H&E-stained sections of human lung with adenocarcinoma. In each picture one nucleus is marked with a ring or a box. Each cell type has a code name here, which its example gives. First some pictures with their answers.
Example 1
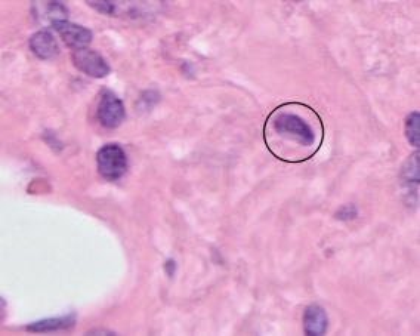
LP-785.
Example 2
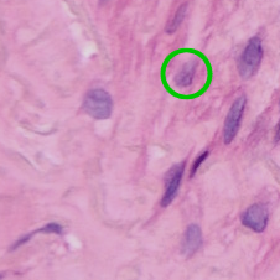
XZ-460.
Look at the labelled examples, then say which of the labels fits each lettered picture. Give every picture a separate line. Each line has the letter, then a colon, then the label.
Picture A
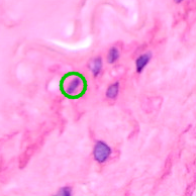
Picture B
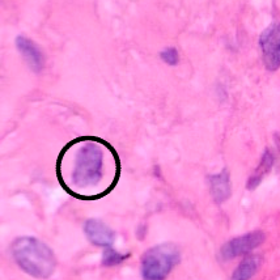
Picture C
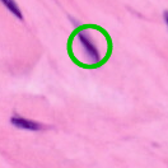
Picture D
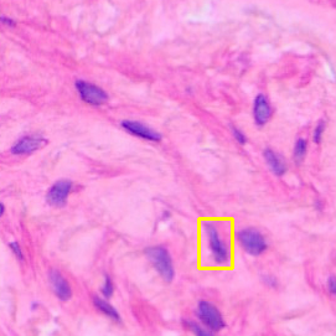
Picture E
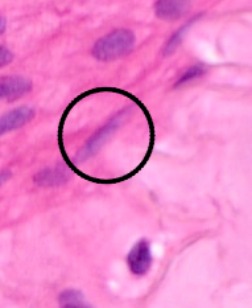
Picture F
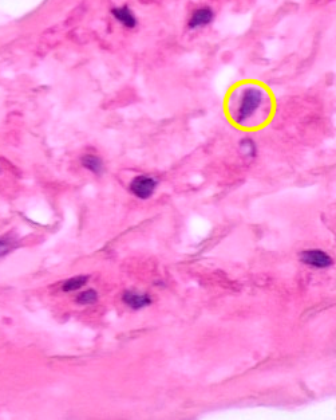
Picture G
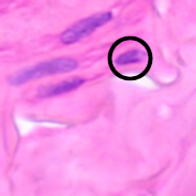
A: XZ-460.
B: LP-785.
C: LP-785.
D: XZ-460.
E: XZ-460.
F: XZ-460.
G: XZ-460.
